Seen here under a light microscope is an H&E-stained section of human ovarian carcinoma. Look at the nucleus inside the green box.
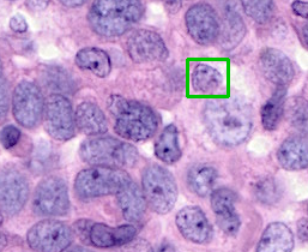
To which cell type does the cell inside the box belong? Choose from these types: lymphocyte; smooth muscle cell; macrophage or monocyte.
macrophage or monocyte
